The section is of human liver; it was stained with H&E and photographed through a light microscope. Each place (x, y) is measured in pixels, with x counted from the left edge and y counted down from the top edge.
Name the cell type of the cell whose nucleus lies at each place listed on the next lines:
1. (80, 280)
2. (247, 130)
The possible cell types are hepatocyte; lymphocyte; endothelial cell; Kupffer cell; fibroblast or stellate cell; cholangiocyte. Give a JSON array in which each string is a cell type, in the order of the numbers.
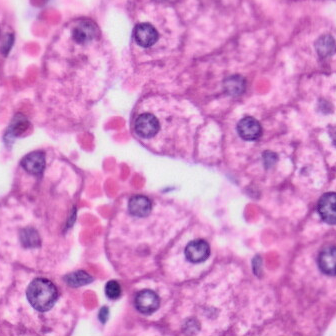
["Kupffer cell", "hepatocyte"]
